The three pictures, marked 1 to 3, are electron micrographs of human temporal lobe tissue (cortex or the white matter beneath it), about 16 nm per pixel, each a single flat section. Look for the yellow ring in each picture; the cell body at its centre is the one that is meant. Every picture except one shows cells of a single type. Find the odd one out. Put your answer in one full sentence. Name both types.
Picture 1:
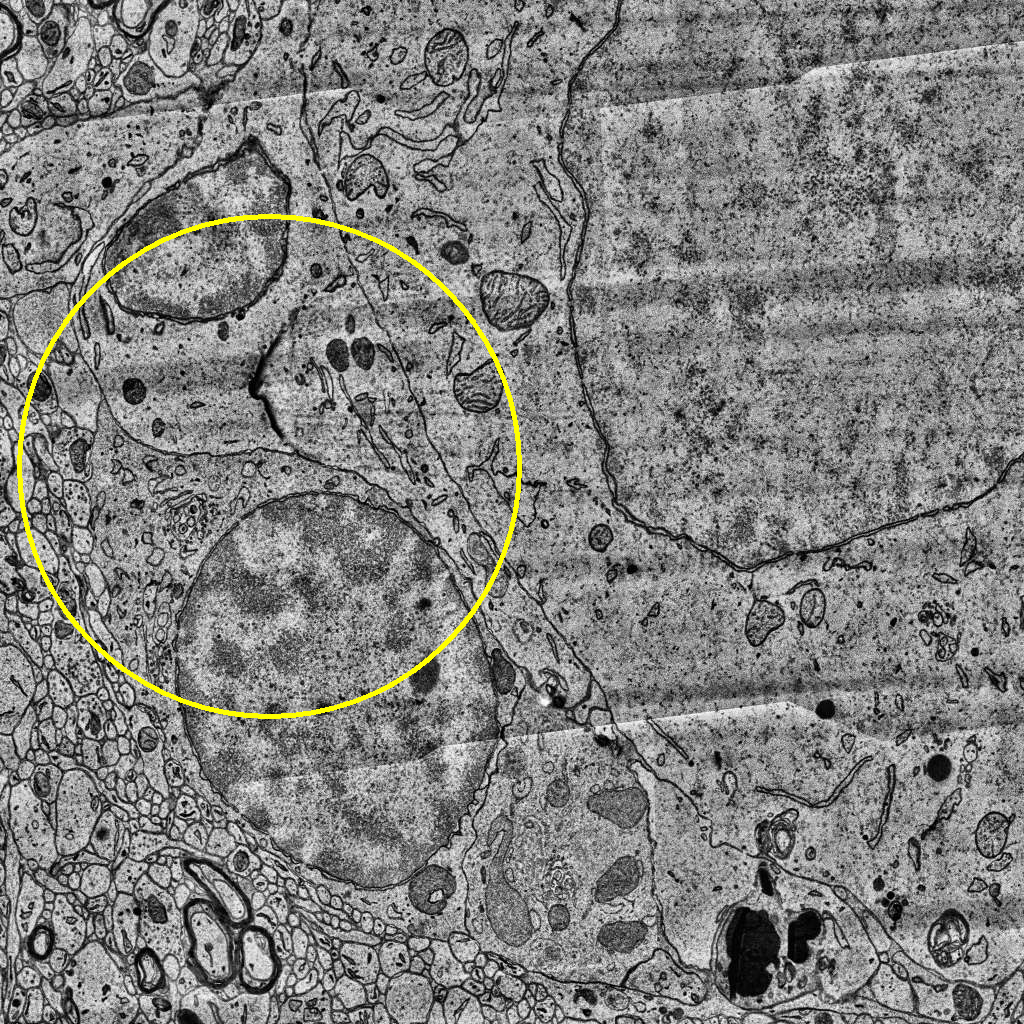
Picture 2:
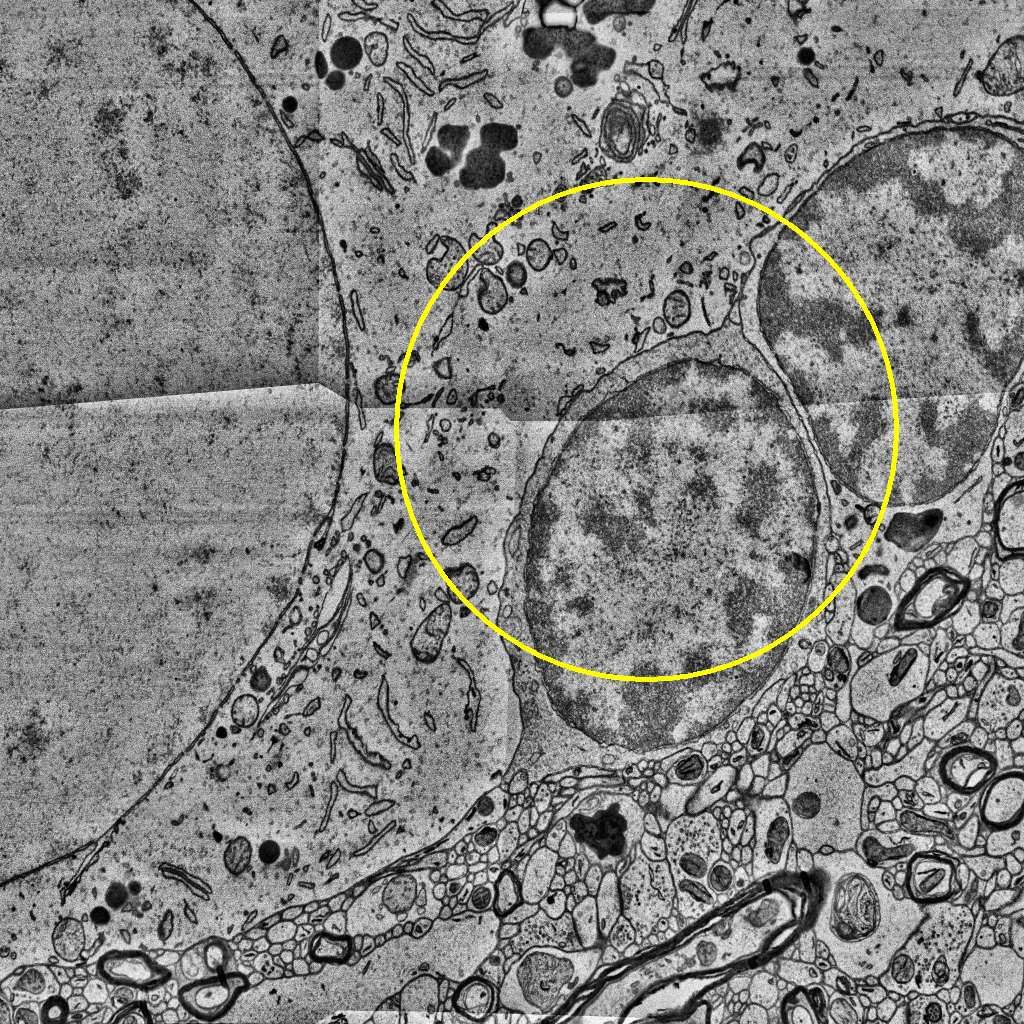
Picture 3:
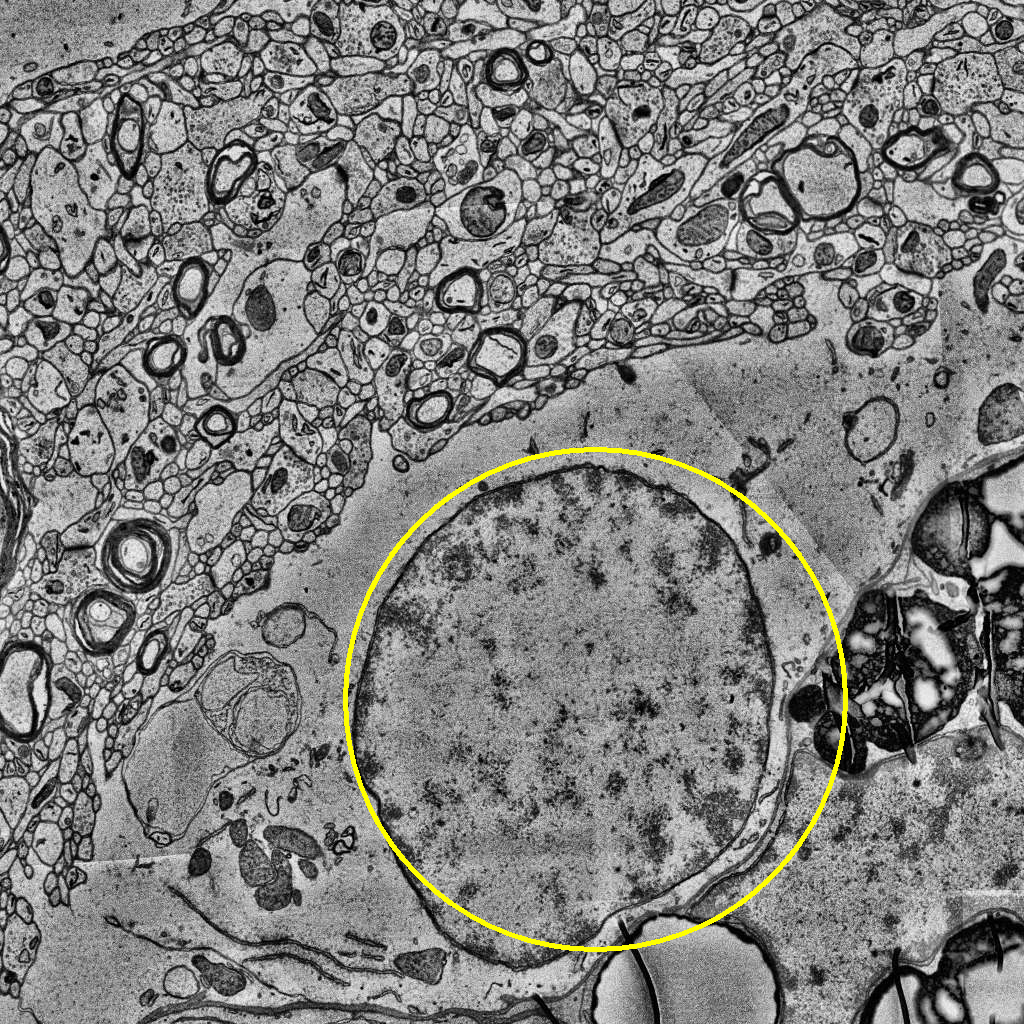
The others show oligodendrocytes, but picture 3 shows an astrocyte.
